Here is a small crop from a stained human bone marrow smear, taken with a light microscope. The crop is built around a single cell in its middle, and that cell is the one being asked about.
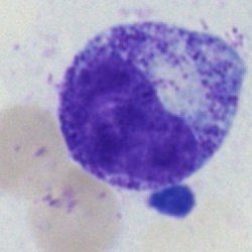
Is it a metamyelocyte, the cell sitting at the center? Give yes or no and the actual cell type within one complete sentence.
Yes, the cell centred in the field of view is a metamyelocyte.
